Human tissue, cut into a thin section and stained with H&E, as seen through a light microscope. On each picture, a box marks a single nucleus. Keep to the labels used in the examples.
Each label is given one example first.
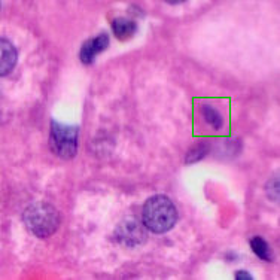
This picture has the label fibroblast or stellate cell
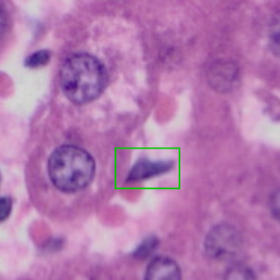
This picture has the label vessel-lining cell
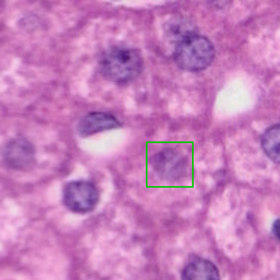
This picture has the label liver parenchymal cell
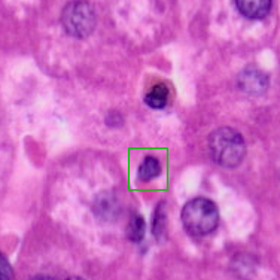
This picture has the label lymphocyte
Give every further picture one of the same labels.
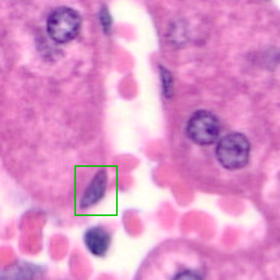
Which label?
fibroblast or stellate cell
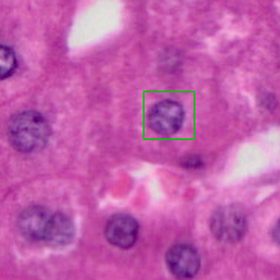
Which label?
liver parenchymal cell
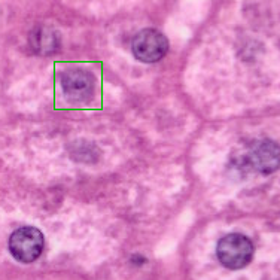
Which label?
liver parenchymal cell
